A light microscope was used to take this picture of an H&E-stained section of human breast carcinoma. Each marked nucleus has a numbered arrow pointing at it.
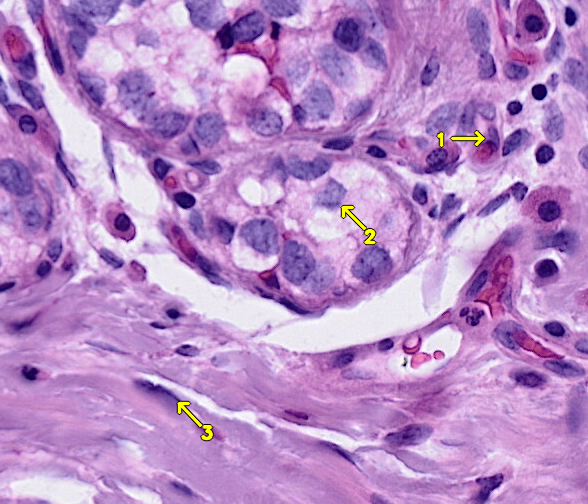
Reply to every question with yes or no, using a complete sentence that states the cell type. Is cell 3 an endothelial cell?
No, cell 3 has been misnamed; it is a fibroblast, not an endothelial cell.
